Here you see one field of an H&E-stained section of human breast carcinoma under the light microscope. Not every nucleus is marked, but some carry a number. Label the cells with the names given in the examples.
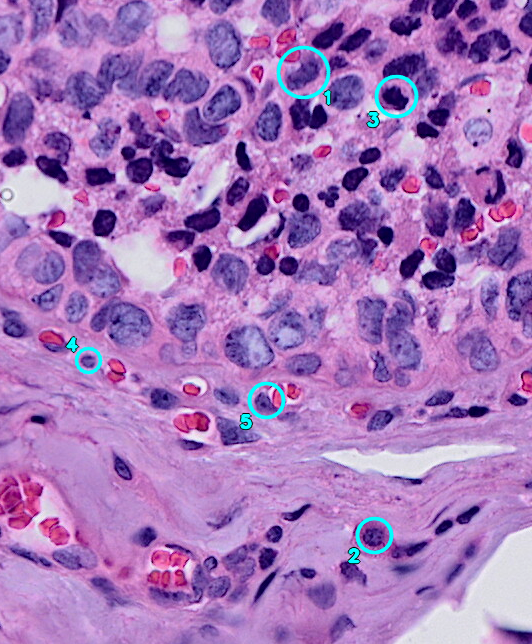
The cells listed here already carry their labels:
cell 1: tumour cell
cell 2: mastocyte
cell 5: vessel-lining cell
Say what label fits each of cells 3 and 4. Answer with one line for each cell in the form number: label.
3: tumour cell
4: mastocyte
